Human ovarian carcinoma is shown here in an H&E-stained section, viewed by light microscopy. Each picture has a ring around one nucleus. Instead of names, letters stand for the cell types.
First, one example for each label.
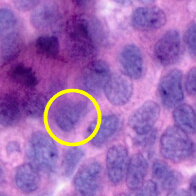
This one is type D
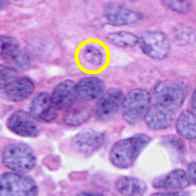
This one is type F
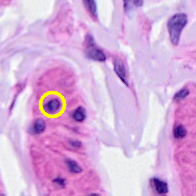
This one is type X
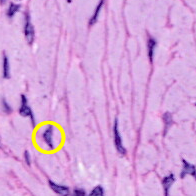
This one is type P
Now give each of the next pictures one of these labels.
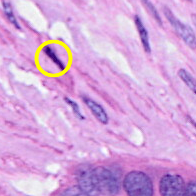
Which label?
type P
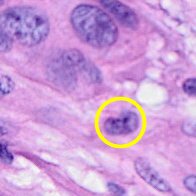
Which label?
type F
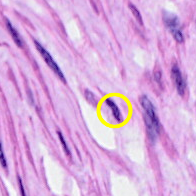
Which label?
type P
